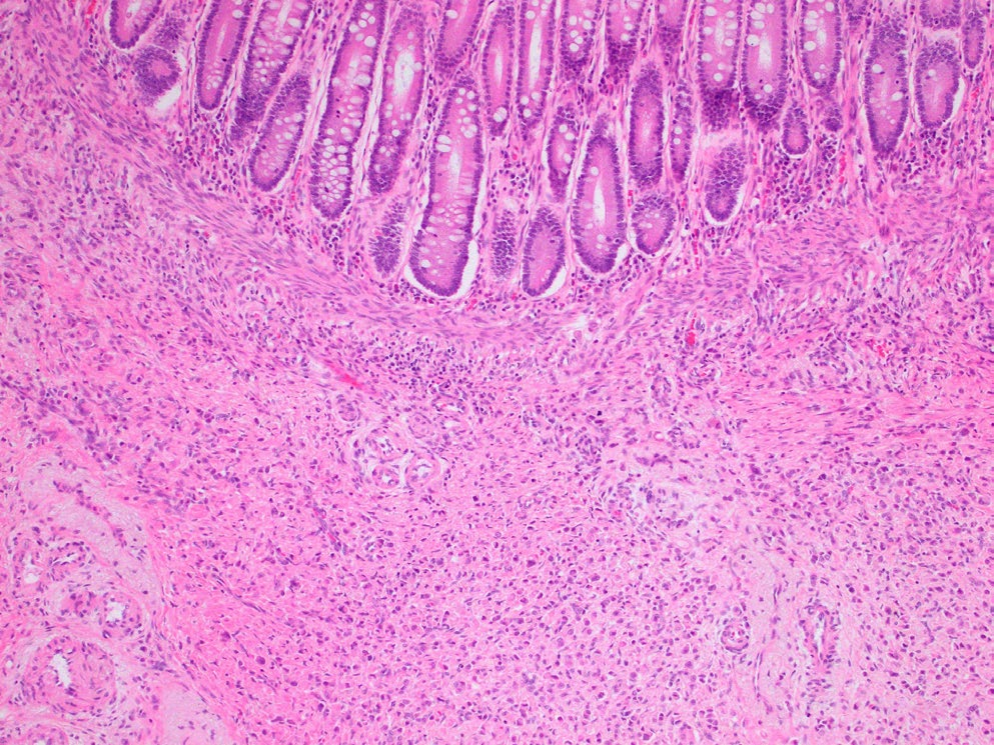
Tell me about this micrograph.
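The upper part of this section shows large bowel mucosa with regular, parallel, test-tube-shaped crypts. The crypts are lined by columnar epithelium with abundant pale goblet cell vacuoles and basal purple nuclei. Beneath them, the submucosa is diffusely infiltrated by relatively small tumor cells with dark, round to oval nuclei and scant cytoplasm. These cells lie singly and in thin cords within pink fibrous stroma and form no glands or tubules. The infiltrate extends up to the base of the mucosa. Small vessels with thickened pink walls are seen at the lower left.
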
